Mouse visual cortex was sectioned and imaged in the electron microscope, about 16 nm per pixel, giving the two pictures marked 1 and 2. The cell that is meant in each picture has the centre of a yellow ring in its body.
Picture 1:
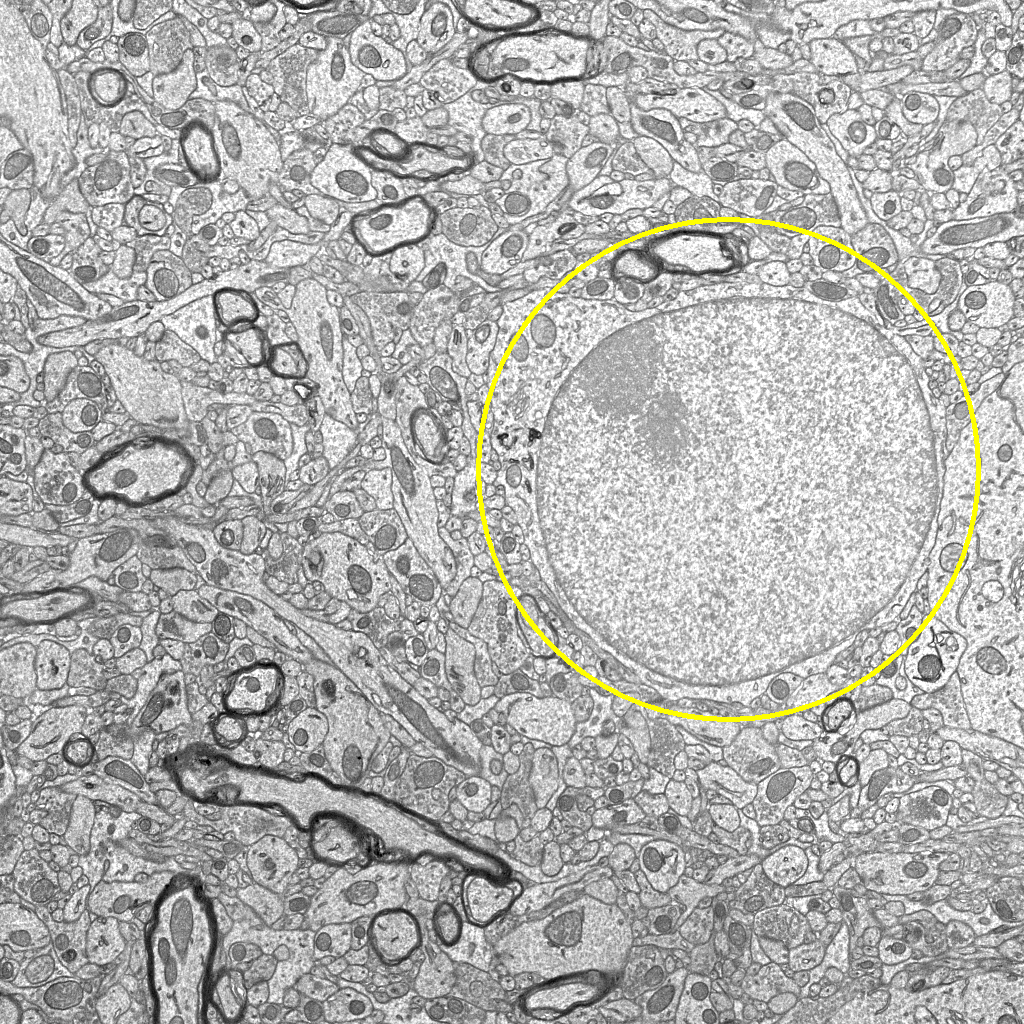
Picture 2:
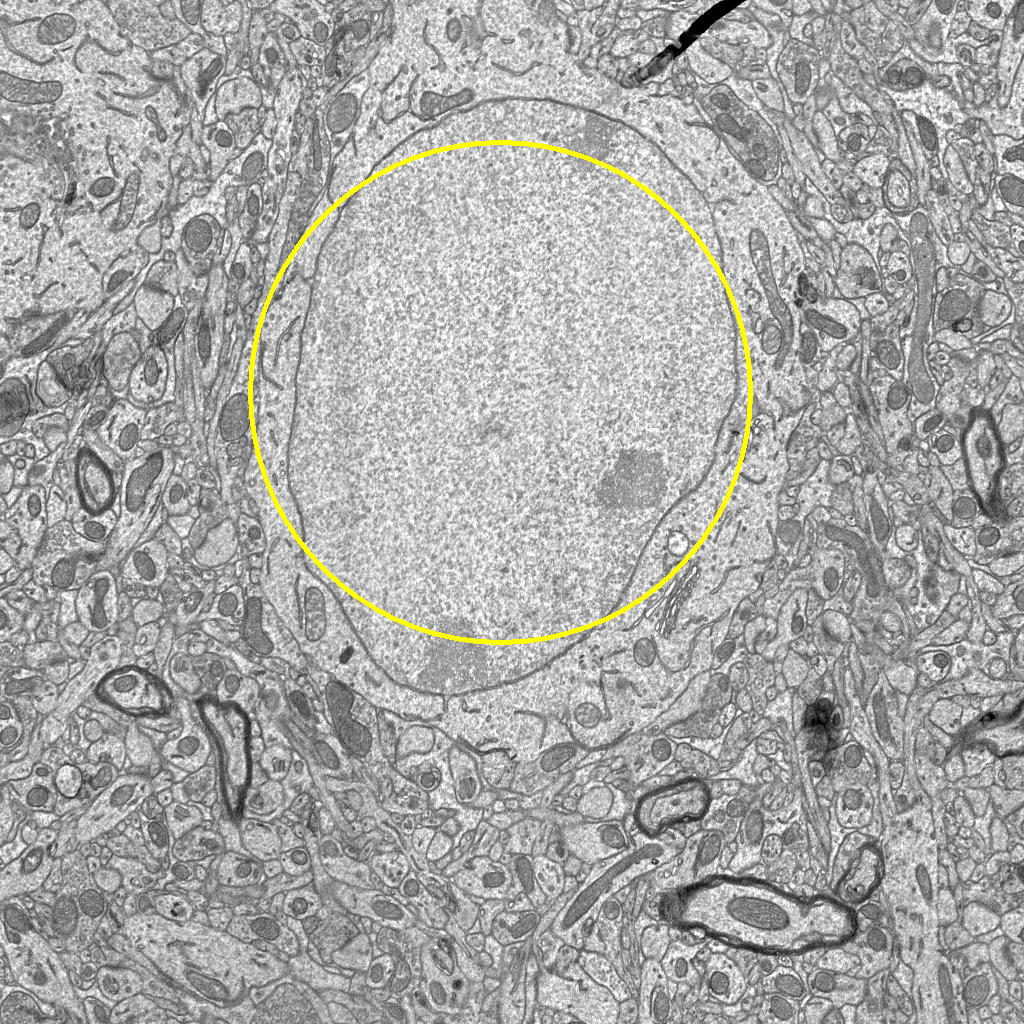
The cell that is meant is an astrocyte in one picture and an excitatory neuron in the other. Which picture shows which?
In picture 1 the cell is an astrocyte; in picture 2, an excitatory neuron.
